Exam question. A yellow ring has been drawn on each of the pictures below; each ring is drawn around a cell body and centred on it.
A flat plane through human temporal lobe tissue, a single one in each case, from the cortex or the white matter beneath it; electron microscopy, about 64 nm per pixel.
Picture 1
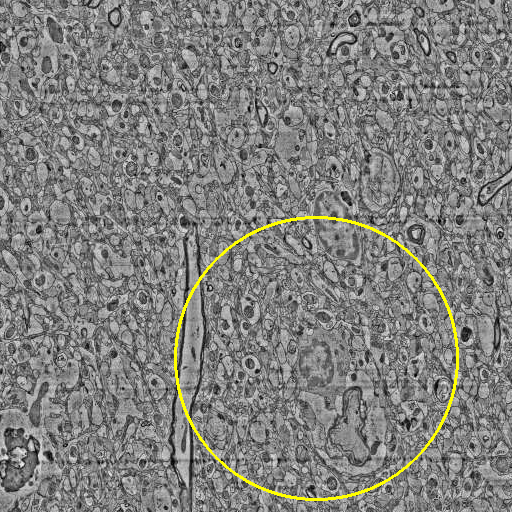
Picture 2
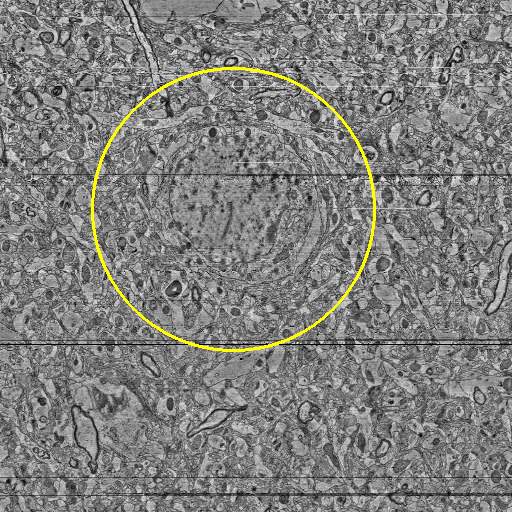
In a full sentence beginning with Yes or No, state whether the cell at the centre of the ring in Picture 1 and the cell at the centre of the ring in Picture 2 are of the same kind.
No, the cells are of two kinds.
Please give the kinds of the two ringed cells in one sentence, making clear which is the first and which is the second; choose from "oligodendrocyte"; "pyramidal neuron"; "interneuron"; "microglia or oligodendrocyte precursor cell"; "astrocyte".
In the second picture the ringed cell is an interneuron; in the first it is an oligodendrocyte.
